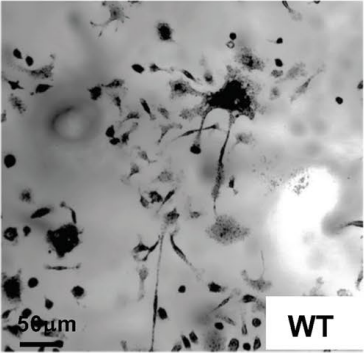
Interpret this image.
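Scattered small, darkly stained cells lie on a pale background, many spindle-shaped or stellate with long thin processes. Only a few cells are somewhat larger and irregular, and no cells with many nuclei are evident.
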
